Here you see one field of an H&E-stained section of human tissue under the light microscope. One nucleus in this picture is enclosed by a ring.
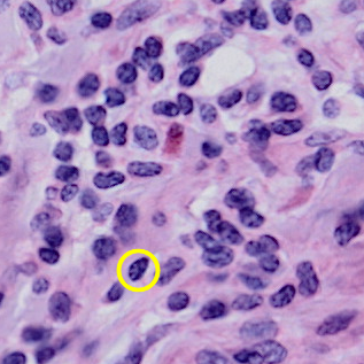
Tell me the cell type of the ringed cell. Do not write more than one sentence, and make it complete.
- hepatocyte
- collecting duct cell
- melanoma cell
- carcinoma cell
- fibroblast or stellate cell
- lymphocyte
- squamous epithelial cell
The correct response here is that the ringed cell is a lymphocyte.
